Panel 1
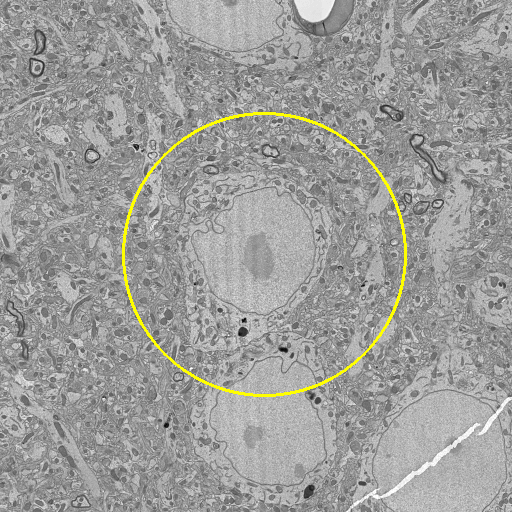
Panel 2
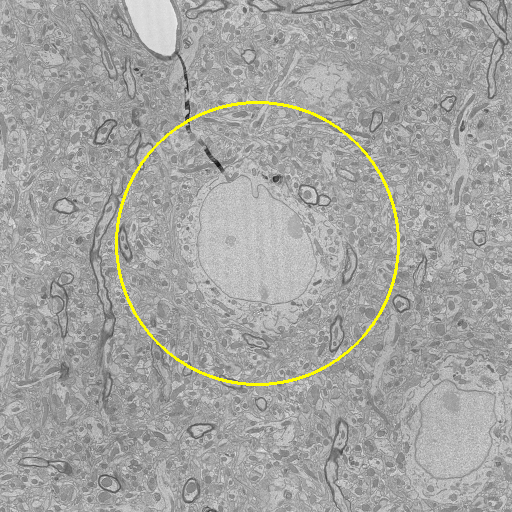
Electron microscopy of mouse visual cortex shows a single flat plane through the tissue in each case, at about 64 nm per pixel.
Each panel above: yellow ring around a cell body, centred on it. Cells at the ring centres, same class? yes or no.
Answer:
no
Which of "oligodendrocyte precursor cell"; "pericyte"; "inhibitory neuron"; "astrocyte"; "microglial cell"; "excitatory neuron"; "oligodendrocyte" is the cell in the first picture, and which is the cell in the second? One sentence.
The two differ: the first cell is an inhibitory neuron and the second is an excitatory neuron.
